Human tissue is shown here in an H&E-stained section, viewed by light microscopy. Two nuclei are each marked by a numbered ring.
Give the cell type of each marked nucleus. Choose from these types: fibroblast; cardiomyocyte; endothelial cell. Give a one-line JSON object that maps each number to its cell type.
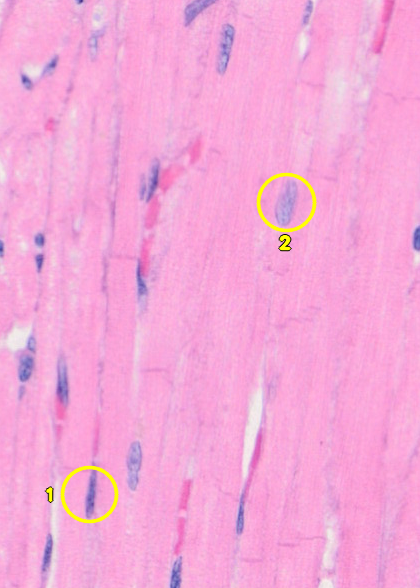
{"1": "endothelial cell", "2": "cardiomyocyte"}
